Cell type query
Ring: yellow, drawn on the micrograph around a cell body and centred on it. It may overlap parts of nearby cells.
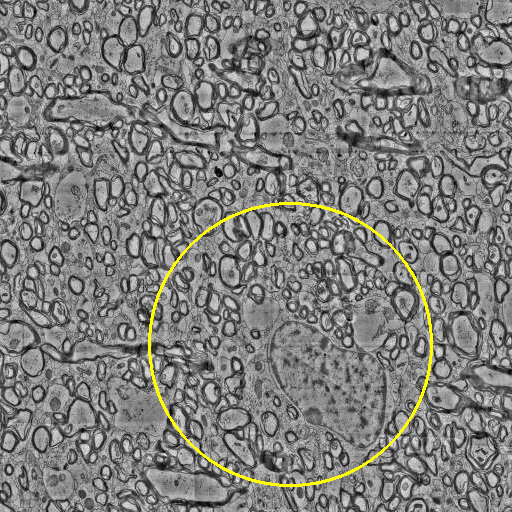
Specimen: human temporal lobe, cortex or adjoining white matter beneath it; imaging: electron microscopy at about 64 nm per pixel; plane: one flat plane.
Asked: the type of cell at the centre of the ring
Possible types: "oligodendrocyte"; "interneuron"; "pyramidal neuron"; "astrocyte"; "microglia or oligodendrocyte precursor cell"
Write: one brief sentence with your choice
The ring marks a microglial cell or oligodendrocyte precursor cell.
